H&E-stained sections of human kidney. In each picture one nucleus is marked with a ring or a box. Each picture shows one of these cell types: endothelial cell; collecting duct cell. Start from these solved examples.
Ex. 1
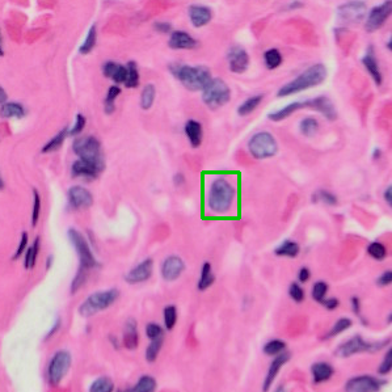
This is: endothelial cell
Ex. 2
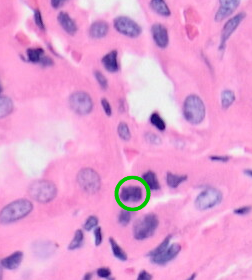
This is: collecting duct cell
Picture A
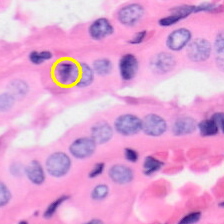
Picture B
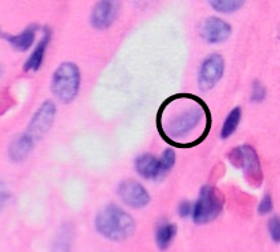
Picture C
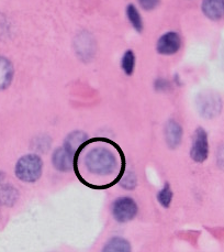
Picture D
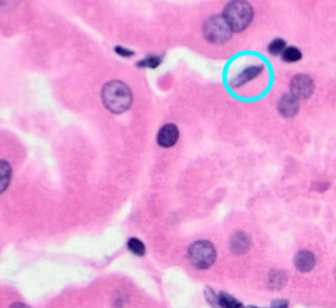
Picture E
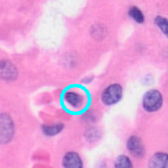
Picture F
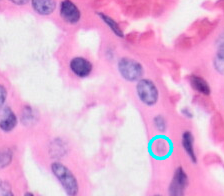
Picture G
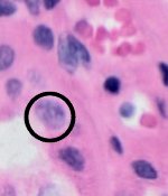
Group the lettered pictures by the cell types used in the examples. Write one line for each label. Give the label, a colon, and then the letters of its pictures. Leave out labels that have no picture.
endothelial cell: D, E
collecting duct cell: A, B, C, F, G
